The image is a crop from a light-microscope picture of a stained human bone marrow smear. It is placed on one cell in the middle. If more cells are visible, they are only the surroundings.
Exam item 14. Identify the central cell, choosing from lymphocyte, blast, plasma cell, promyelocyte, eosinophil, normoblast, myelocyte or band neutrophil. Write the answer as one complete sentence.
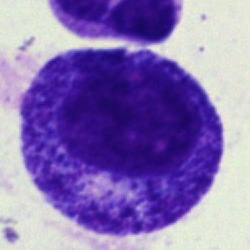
What the crop centres on is a promyelocyte.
